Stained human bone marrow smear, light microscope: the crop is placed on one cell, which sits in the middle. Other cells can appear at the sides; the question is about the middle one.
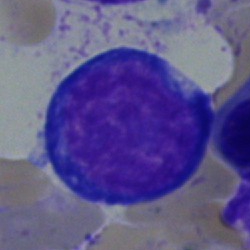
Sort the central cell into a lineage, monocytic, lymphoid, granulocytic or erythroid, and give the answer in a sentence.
In terms of lineage, the cell in the middle is erythroid.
